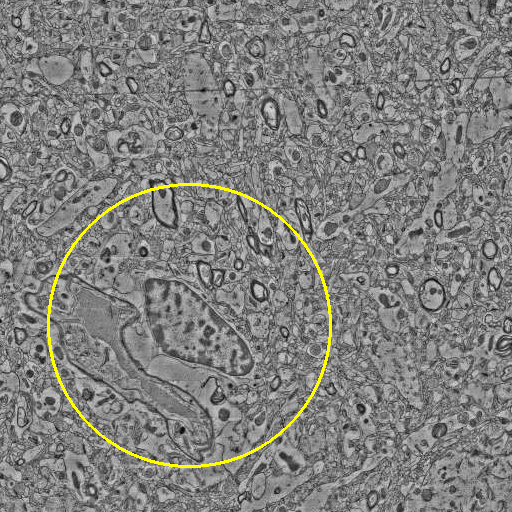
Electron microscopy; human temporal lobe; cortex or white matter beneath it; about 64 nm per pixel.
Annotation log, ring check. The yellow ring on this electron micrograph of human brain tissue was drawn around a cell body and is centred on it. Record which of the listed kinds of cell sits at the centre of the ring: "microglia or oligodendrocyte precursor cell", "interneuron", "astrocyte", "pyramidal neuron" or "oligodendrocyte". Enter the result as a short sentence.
The cell at the centre of the ring is a microglial cell or oligodendrocyte precursor cell.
